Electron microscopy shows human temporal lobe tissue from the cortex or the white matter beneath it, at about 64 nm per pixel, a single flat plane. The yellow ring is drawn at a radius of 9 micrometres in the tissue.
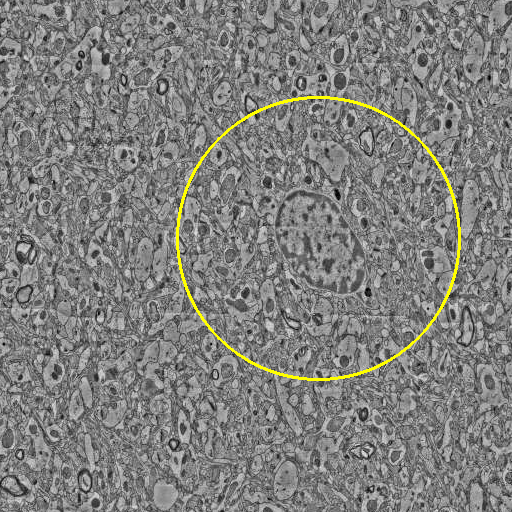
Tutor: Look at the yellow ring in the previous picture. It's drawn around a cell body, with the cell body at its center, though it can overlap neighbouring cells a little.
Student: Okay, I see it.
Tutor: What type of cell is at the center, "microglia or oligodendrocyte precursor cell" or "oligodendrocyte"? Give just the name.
microglia or oligodendrocyte precursor cell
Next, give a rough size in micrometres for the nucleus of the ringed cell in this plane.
The nucleus is approximately 7 micrometers long by 5 micrometers wide in this plane.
